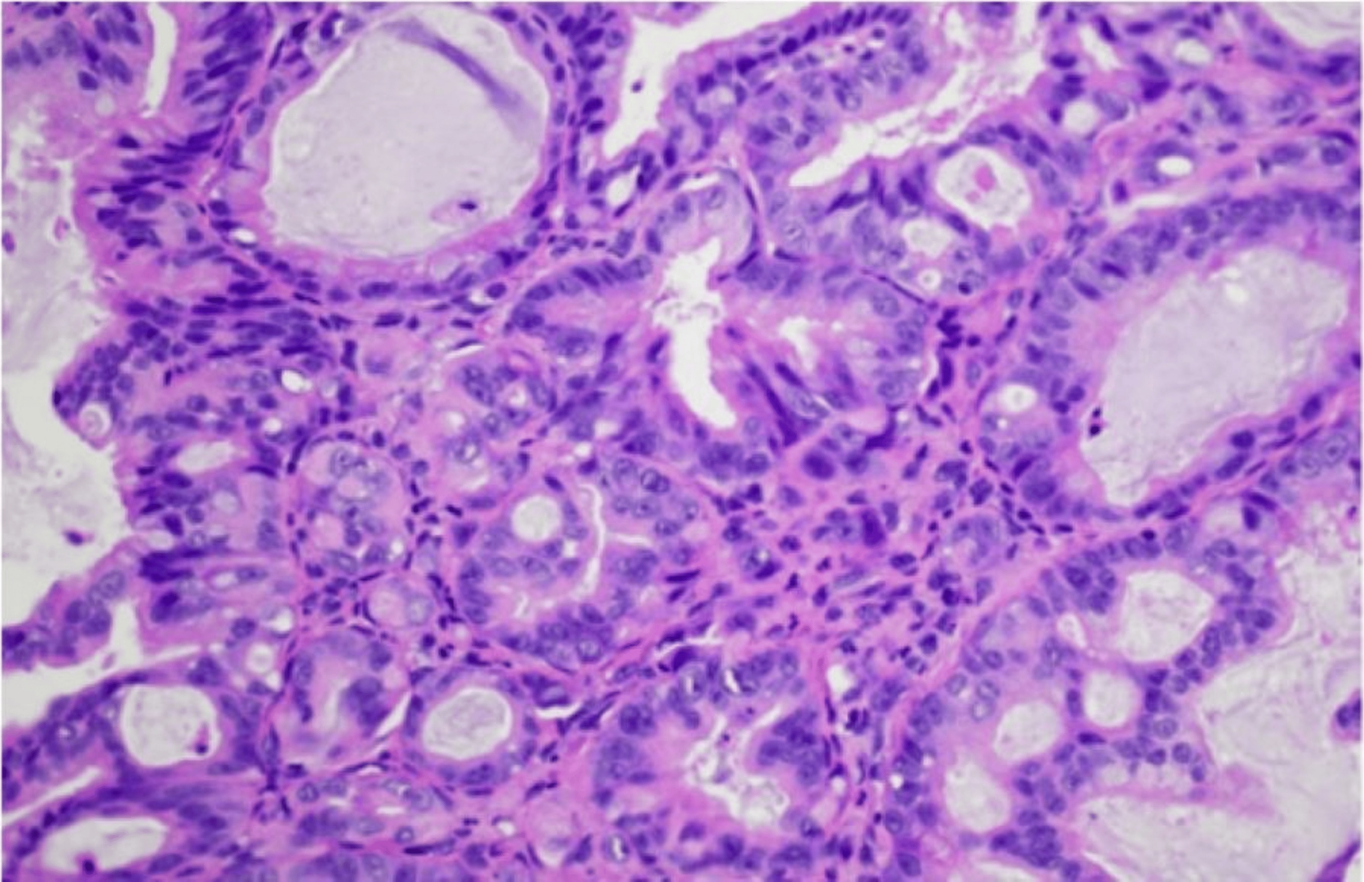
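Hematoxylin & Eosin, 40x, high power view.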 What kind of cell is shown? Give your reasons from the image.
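Epithelial cells line many round and irregular glandular lumens. The glands are crowded back to back with little stroma between them. Nuclei vary in size and shape and are crowded, some stacked. That points to this answer: atypical gland-forming epithelial cells.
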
